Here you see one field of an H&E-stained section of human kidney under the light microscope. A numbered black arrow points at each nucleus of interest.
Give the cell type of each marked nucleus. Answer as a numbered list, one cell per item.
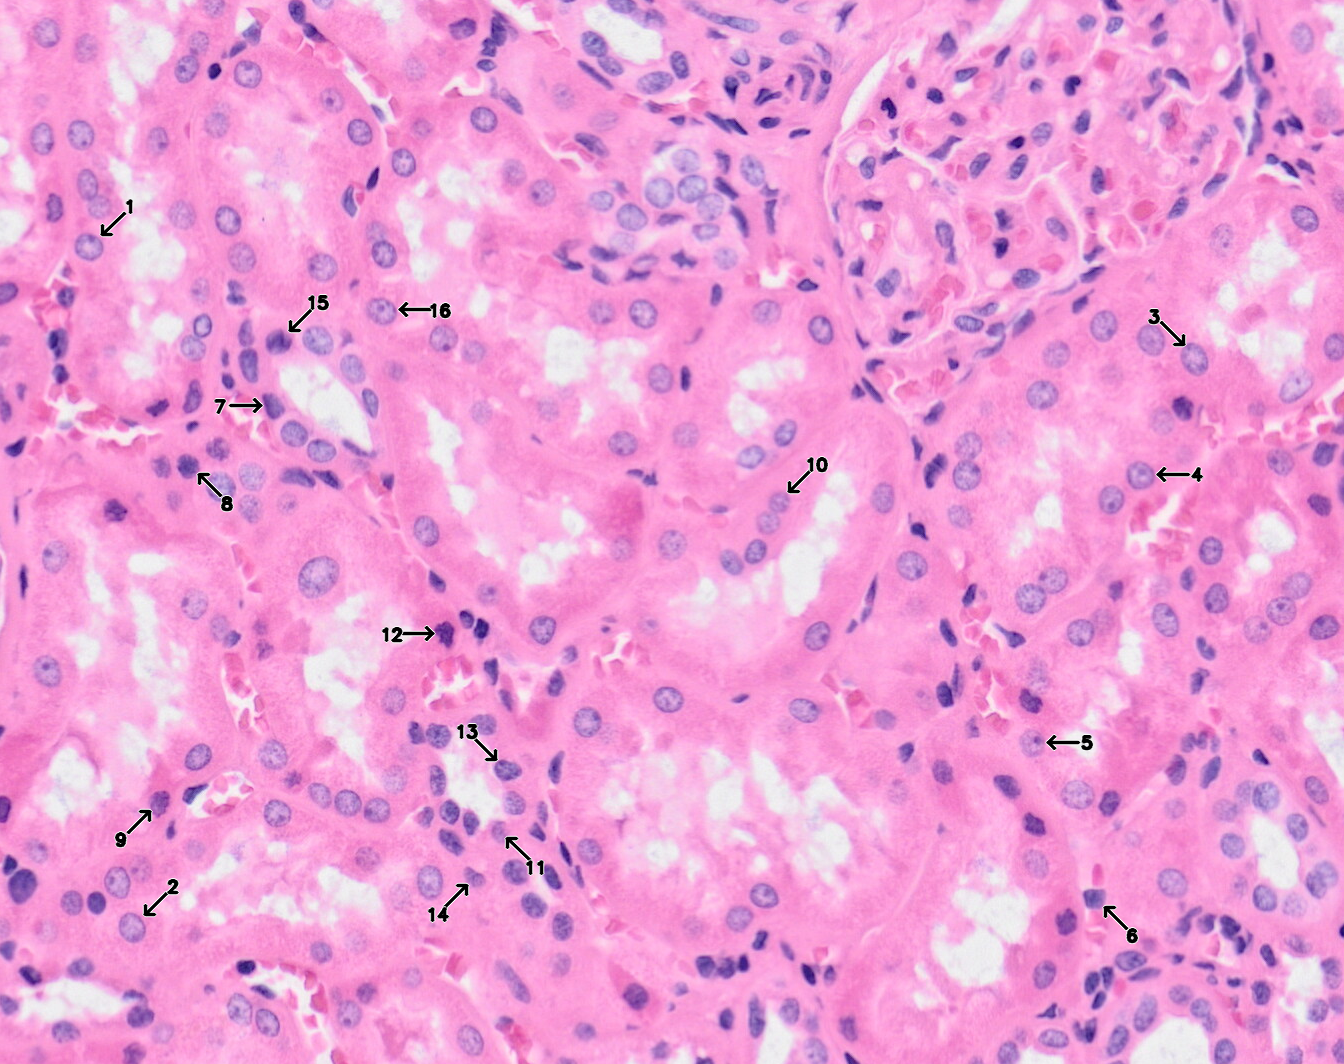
1. proximal tubule cell
2. proximal tubule cell
3. proximal tubule cell
4. proximal tubule cell
5. proximal tubule cell
6. endothelial cell
7. collecting duct cell
8. loop of Henle or distal tubule cell
9. proximal tubule cell
10. proximal tubule cell
11. loop of Henle or distal tubule cell
12. proximal tubule cell
13. loop of Henle or distal tubule cell
14. loop of Henle or distal tubule cell
15. collecting duct cell
16. proximal tubule cell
